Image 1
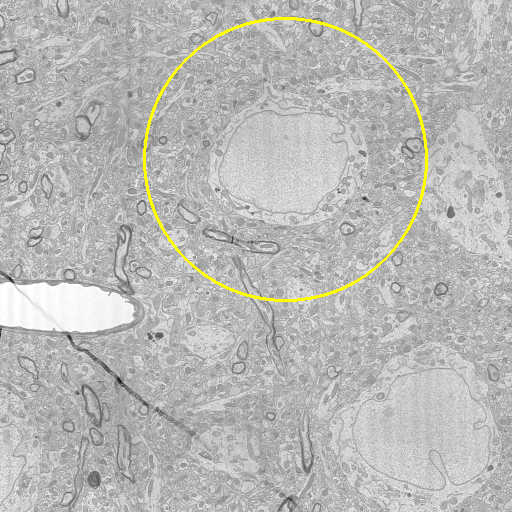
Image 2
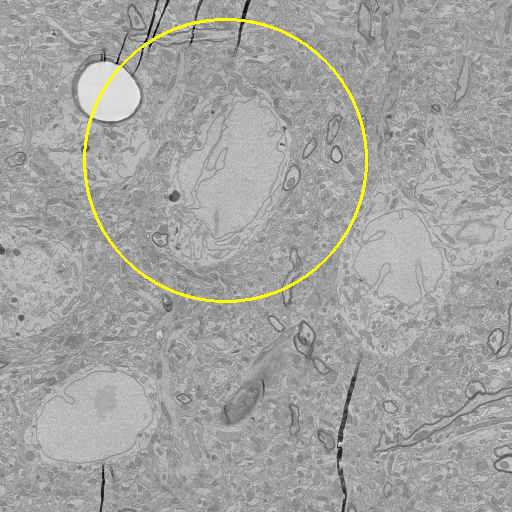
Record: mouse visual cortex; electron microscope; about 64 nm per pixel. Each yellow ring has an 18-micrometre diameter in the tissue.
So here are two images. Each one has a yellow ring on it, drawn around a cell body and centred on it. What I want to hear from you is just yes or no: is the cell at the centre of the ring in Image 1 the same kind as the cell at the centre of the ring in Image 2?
yes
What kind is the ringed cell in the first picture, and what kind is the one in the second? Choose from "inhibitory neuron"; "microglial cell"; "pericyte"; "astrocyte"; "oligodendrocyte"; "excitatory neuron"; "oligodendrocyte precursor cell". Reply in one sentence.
In each of the two pictures, the ringed cell is an inhibitory neuron.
